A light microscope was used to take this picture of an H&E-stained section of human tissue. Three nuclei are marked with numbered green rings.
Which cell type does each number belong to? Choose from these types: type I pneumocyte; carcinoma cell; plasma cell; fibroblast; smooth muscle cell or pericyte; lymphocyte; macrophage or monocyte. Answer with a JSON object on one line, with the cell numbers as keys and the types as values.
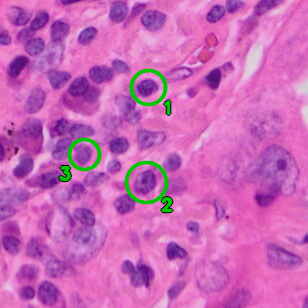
{"1": "lymphocyte", "2": "plasma cell", "3": "lymphocyte"}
